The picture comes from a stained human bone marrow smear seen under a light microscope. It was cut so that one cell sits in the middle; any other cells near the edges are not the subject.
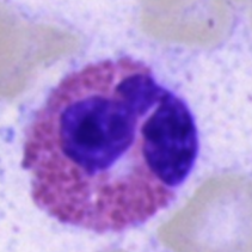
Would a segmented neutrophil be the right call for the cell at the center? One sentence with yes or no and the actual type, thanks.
No, this one is an eosinophil; it is not a segmented neutrophil.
